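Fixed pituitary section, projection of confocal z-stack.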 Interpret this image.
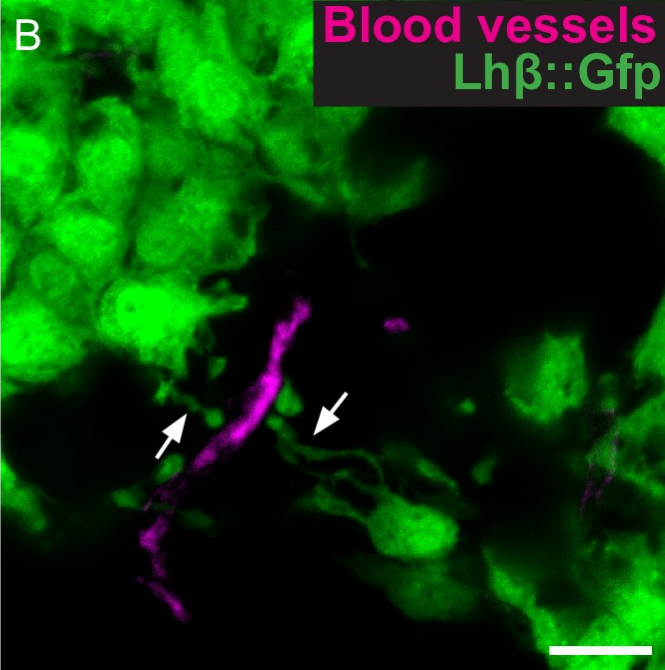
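A thin, slightly wavy magenta blood vessel runs diagonally through a darker, cell-poor area. Short green extensions from nearby cells reach toward the vessel and end in small round swellings lying on either side of it.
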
